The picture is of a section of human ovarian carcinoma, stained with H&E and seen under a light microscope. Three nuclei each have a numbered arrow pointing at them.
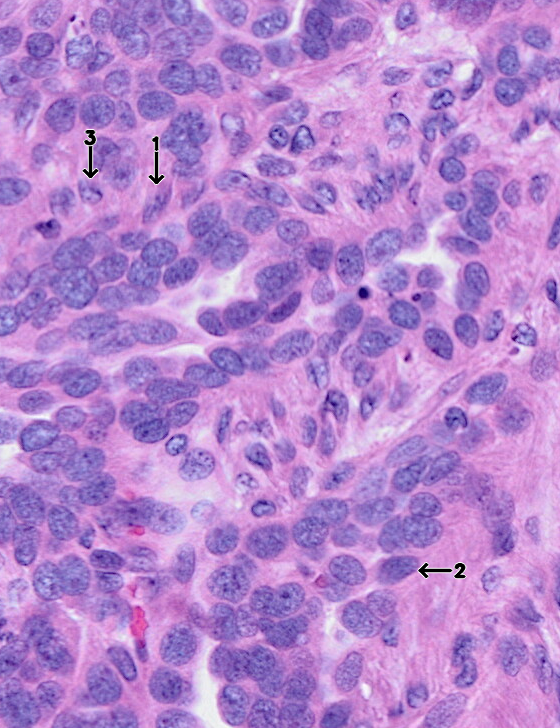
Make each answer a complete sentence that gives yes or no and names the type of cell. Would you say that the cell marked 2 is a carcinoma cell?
Yes, regarding number 2, the cell is a carcinoma cell.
